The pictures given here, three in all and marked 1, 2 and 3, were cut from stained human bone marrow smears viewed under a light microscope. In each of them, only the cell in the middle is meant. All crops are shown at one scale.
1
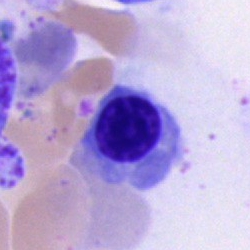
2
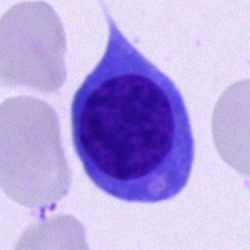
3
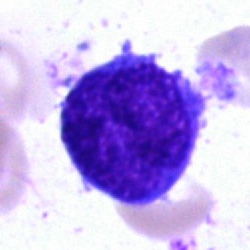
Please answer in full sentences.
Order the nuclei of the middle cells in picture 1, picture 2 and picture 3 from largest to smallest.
The order is 3, 2, 1, beginning with the largest.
